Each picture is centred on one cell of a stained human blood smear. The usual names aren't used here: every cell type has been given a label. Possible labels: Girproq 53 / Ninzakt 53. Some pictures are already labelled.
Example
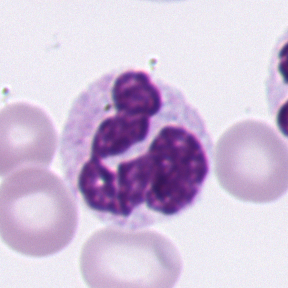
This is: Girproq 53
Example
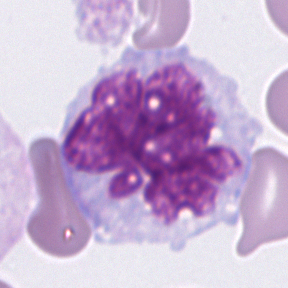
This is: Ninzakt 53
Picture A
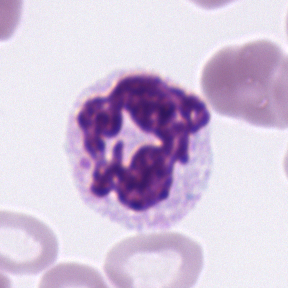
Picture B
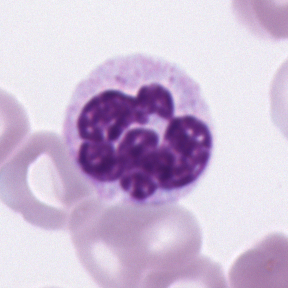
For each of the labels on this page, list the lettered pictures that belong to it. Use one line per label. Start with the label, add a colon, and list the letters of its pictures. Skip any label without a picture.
Girproq 53: A, B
